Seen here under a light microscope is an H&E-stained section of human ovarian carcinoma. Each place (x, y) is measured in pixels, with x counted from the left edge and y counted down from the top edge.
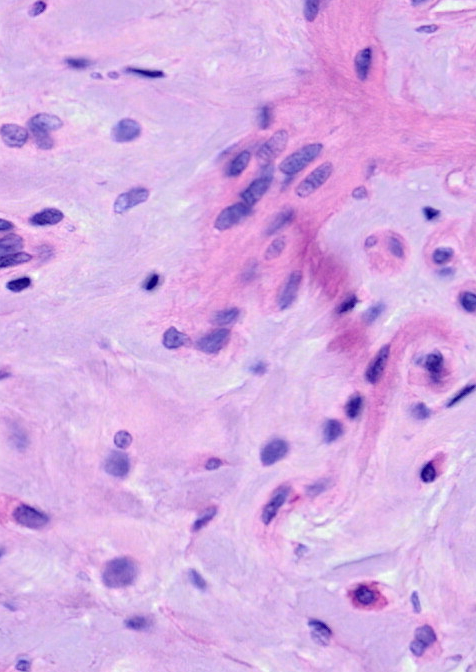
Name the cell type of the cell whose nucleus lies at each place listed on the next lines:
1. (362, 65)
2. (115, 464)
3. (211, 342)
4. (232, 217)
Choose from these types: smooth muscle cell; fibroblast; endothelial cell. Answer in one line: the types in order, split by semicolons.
smooth muscle cell; fibroblast; smooth muscle cell; smooth muscle cell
